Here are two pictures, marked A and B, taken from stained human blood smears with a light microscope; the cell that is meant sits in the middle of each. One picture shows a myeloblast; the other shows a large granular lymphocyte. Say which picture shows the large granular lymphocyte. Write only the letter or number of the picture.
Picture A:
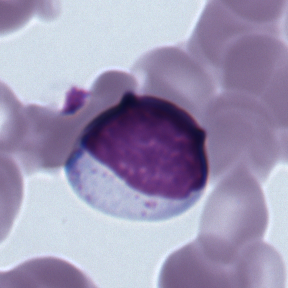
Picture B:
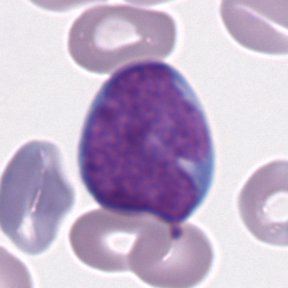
A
